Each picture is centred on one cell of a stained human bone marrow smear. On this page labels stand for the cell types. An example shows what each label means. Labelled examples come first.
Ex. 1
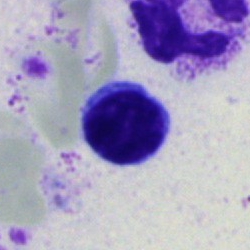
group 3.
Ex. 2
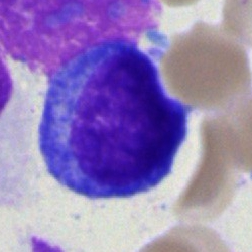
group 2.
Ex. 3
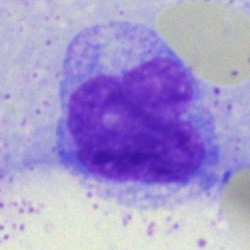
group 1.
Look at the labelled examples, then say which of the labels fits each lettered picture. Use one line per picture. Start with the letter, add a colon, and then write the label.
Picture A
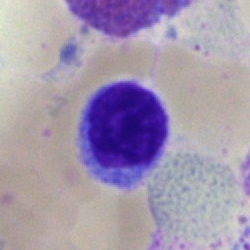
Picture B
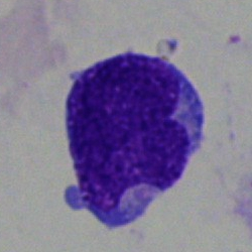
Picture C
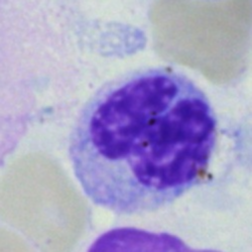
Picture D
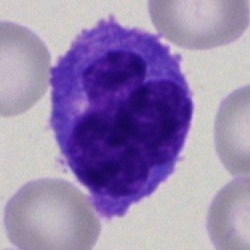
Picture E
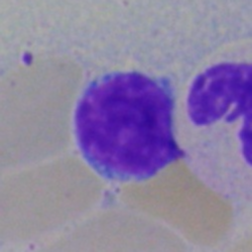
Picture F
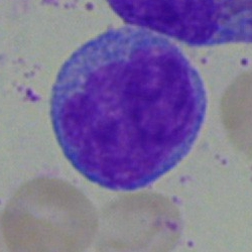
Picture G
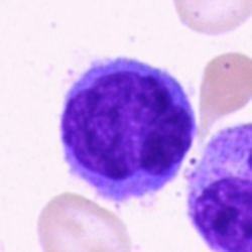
A: group 3.
B: group 2.
C: group 1.
D: group 1.
E: group 3.
F: group 2.
G: group 1.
